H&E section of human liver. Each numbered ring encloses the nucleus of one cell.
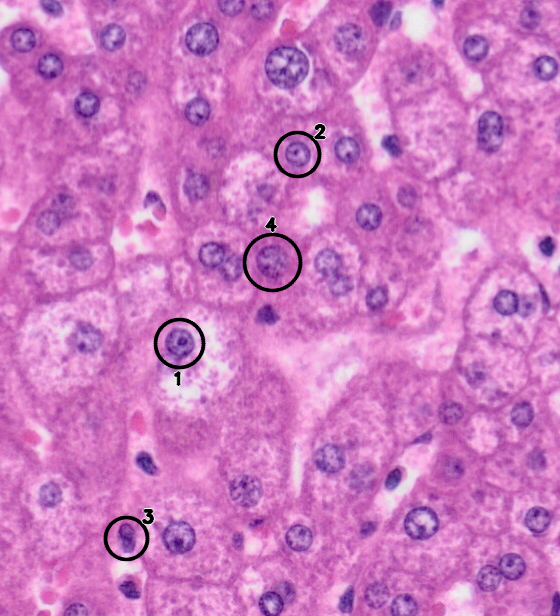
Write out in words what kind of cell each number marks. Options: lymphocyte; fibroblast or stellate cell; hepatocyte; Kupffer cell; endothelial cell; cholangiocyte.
Cell 1 is a hepatocyte, cell 2 is a hepatocyte, cell 3 is an endothelial cell and cell 4 is a hepatocyte.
